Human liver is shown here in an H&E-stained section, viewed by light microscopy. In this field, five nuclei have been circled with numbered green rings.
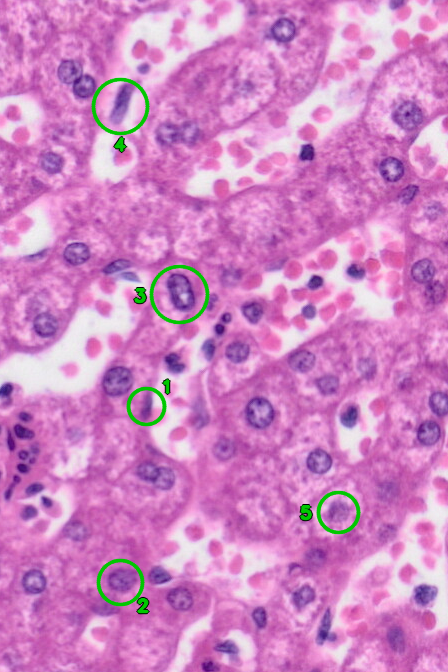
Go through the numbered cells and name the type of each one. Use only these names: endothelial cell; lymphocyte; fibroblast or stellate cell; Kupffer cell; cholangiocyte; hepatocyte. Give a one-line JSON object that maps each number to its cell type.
{"1": "endothelial cell", "2": "hepatocyte", "3": "hepatocyte", "4": "Kupffer cell", "5": "hepatocyte"}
